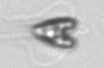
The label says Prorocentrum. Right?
Wrong: this is Pyramimonas.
